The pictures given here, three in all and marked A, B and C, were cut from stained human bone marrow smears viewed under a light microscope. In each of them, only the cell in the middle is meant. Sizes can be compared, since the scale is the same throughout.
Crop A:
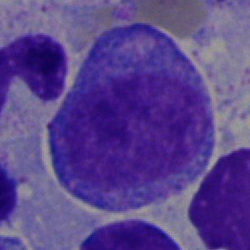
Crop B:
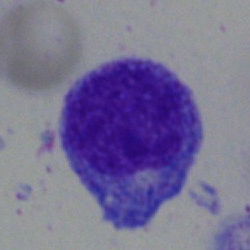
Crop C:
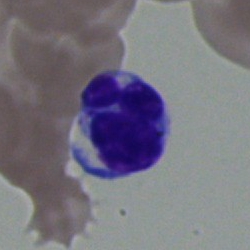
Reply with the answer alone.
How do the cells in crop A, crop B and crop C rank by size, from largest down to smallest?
A, B, C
